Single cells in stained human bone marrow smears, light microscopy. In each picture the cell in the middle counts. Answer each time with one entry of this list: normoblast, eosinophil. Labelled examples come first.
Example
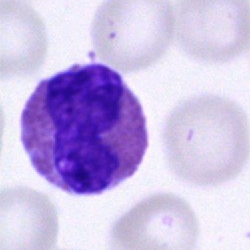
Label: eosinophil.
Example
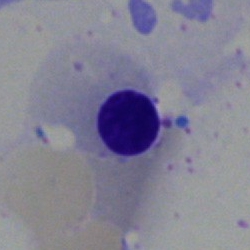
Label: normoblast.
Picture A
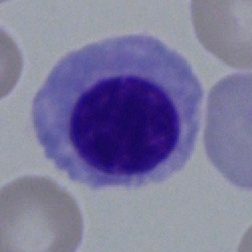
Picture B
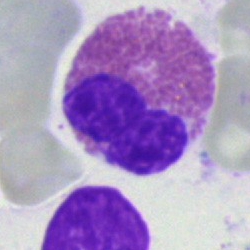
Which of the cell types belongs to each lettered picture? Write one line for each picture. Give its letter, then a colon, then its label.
A: normoblast.
B: eosinophil.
